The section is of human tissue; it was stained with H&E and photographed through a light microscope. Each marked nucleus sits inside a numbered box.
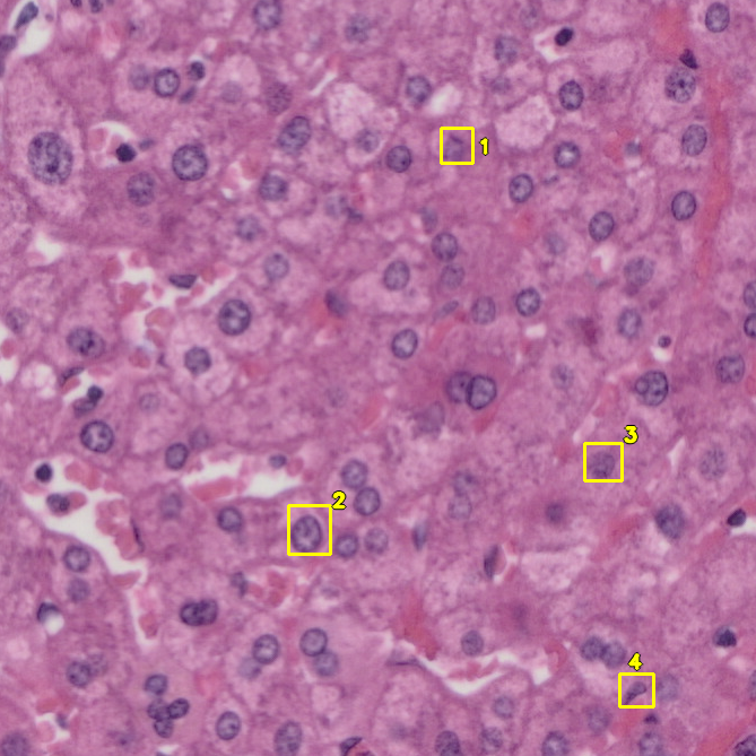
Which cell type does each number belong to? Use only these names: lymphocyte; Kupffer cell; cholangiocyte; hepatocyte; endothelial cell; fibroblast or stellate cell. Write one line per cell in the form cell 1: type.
cell 1: hepatocyte
cell 2: hepatocyte
cell 3: hepatocyte
cell 4: endothelial cell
